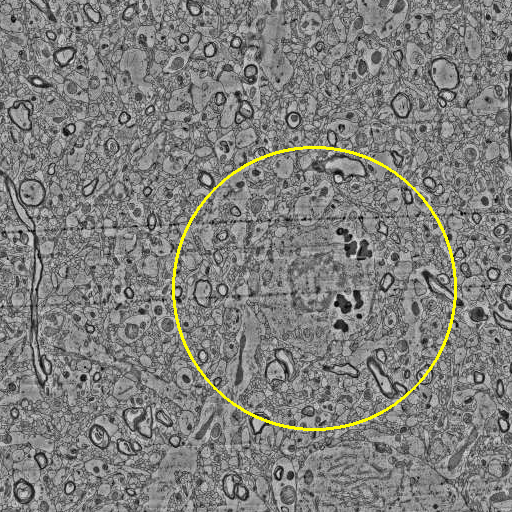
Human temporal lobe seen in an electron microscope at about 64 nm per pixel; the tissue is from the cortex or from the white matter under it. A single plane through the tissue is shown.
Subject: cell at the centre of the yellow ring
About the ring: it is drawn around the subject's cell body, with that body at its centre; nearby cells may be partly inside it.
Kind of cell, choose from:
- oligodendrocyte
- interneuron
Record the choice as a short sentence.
The subject cell is an interneuron.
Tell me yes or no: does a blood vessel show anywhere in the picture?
No, no vessel shows anywhere in the image.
